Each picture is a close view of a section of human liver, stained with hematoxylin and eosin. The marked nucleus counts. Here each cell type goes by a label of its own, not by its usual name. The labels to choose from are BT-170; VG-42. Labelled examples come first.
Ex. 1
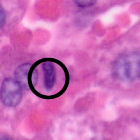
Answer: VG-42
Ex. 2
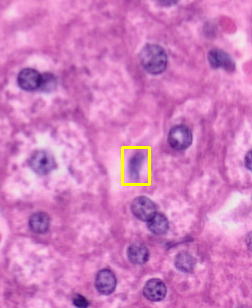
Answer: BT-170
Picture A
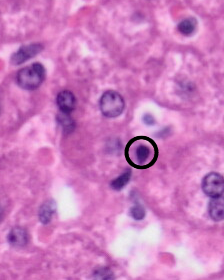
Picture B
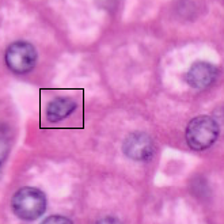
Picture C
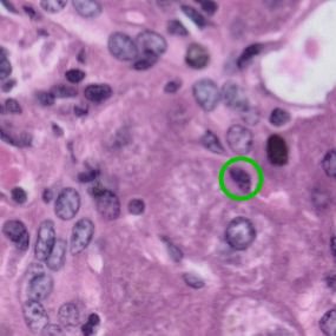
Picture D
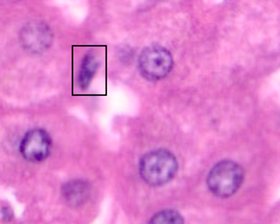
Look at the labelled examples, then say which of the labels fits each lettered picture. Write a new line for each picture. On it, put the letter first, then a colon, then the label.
A: VG-42
B: VG-42
C: VG-42
D: VG-42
